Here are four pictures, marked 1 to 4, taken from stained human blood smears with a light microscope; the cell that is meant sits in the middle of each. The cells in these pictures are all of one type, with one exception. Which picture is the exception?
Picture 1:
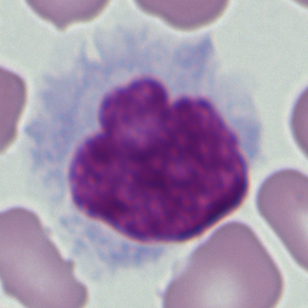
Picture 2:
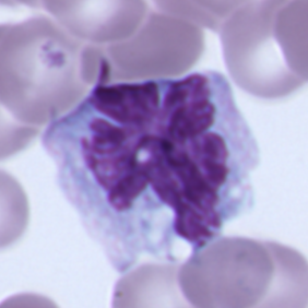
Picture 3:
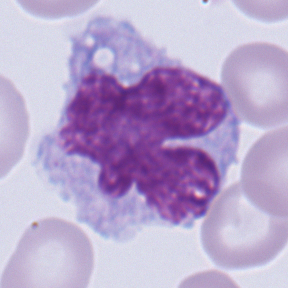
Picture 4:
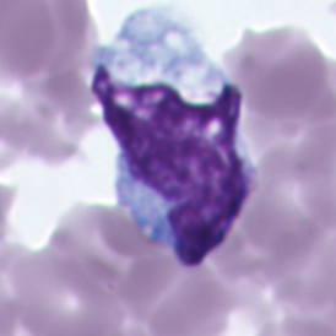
1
